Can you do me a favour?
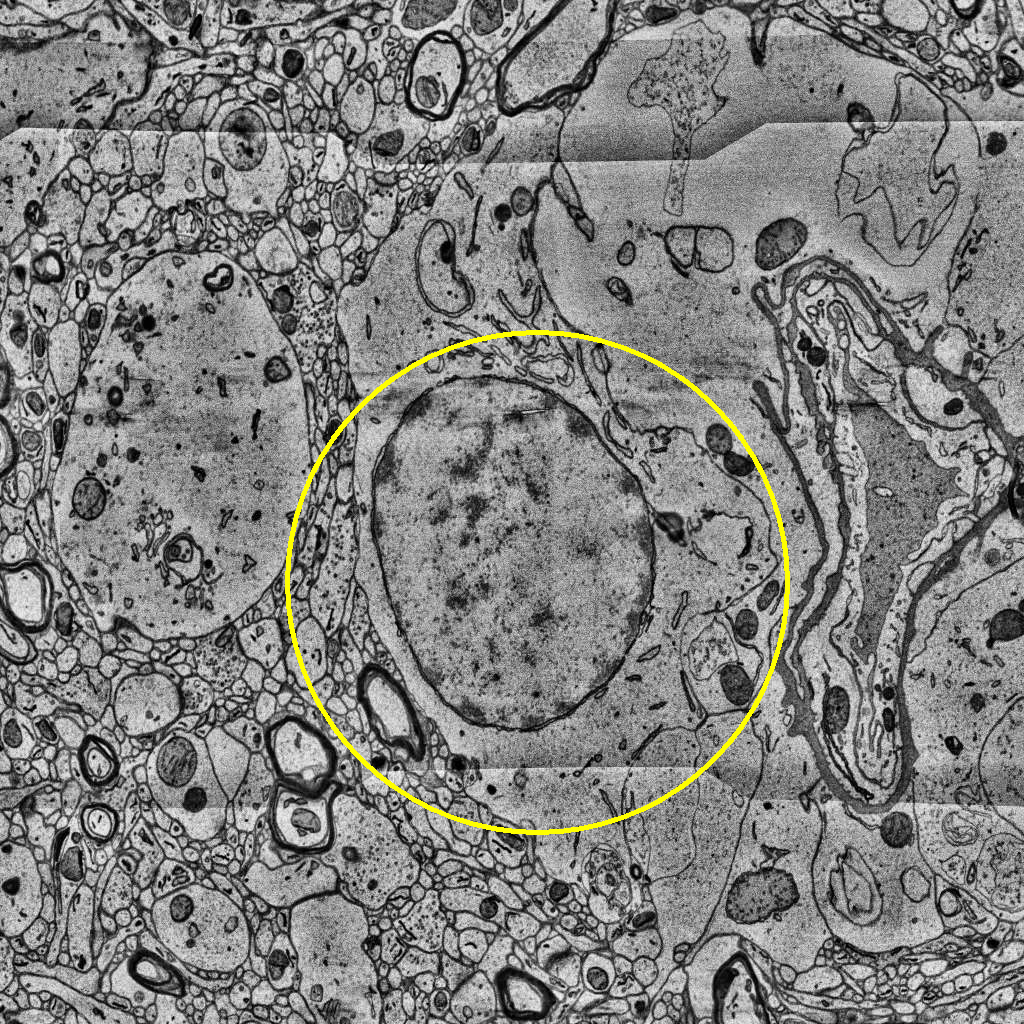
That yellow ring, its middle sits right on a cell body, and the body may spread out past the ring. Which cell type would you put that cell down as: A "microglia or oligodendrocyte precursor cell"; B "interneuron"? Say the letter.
A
